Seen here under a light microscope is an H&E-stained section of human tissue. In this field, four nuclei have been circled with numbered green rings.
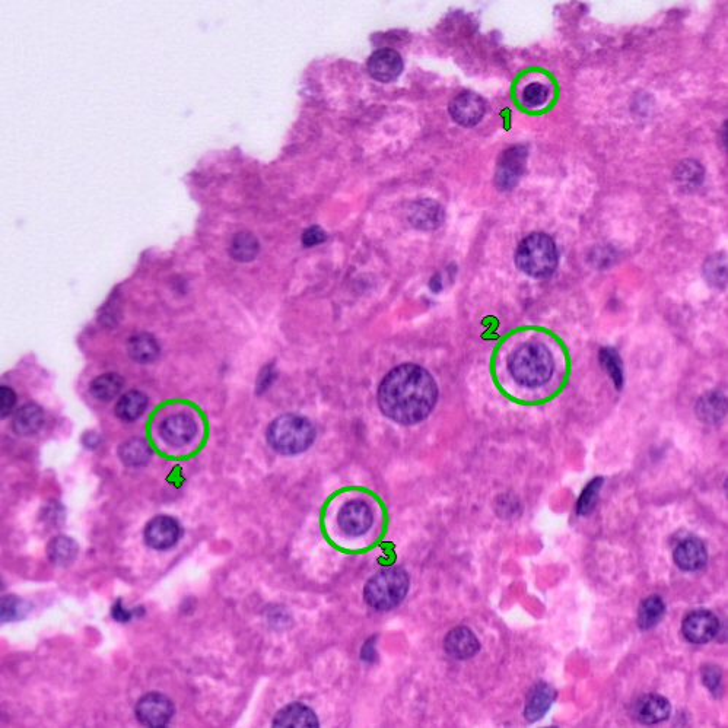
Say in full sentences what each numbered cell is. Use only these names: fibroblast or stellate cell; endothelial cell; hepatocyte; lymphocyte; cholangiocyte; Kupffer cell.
Cell 1 is a lymphocyte. Cells 2, 3 and 4 are hepatocytes.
